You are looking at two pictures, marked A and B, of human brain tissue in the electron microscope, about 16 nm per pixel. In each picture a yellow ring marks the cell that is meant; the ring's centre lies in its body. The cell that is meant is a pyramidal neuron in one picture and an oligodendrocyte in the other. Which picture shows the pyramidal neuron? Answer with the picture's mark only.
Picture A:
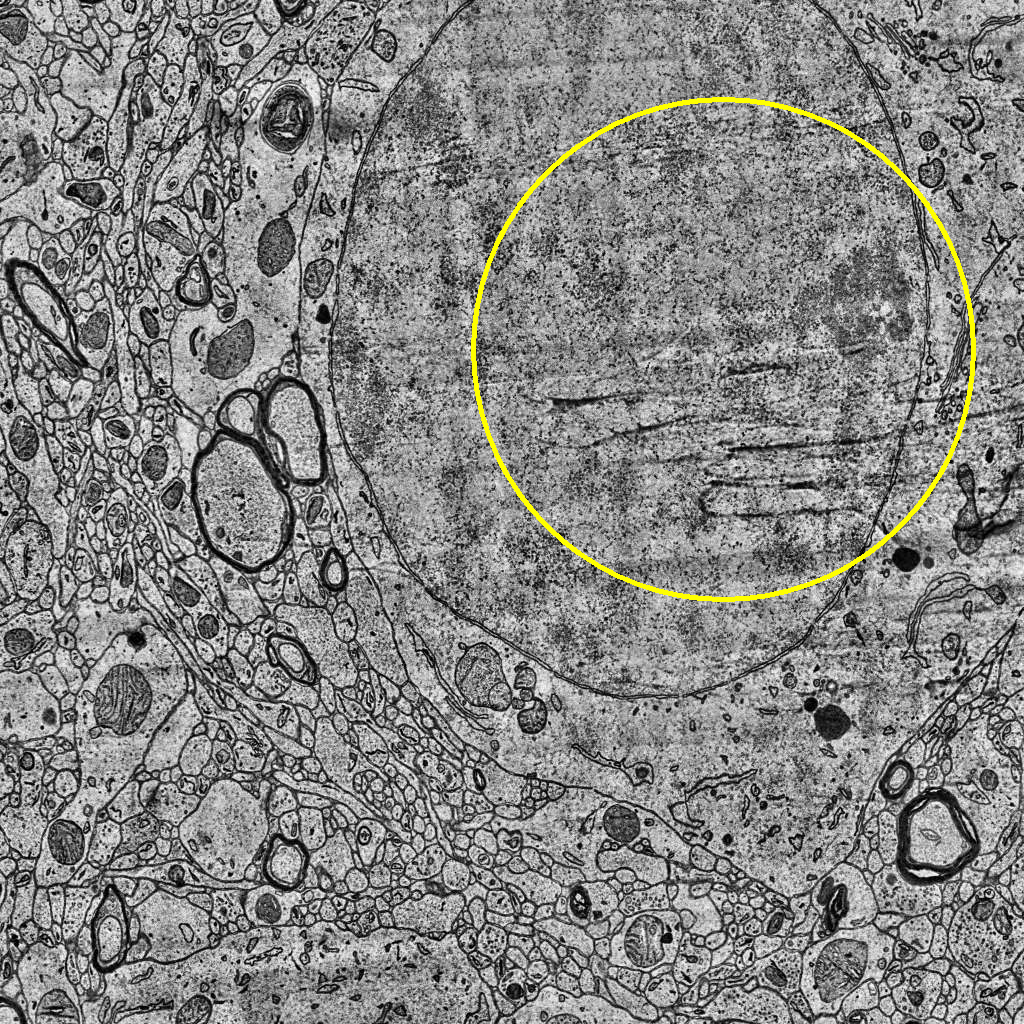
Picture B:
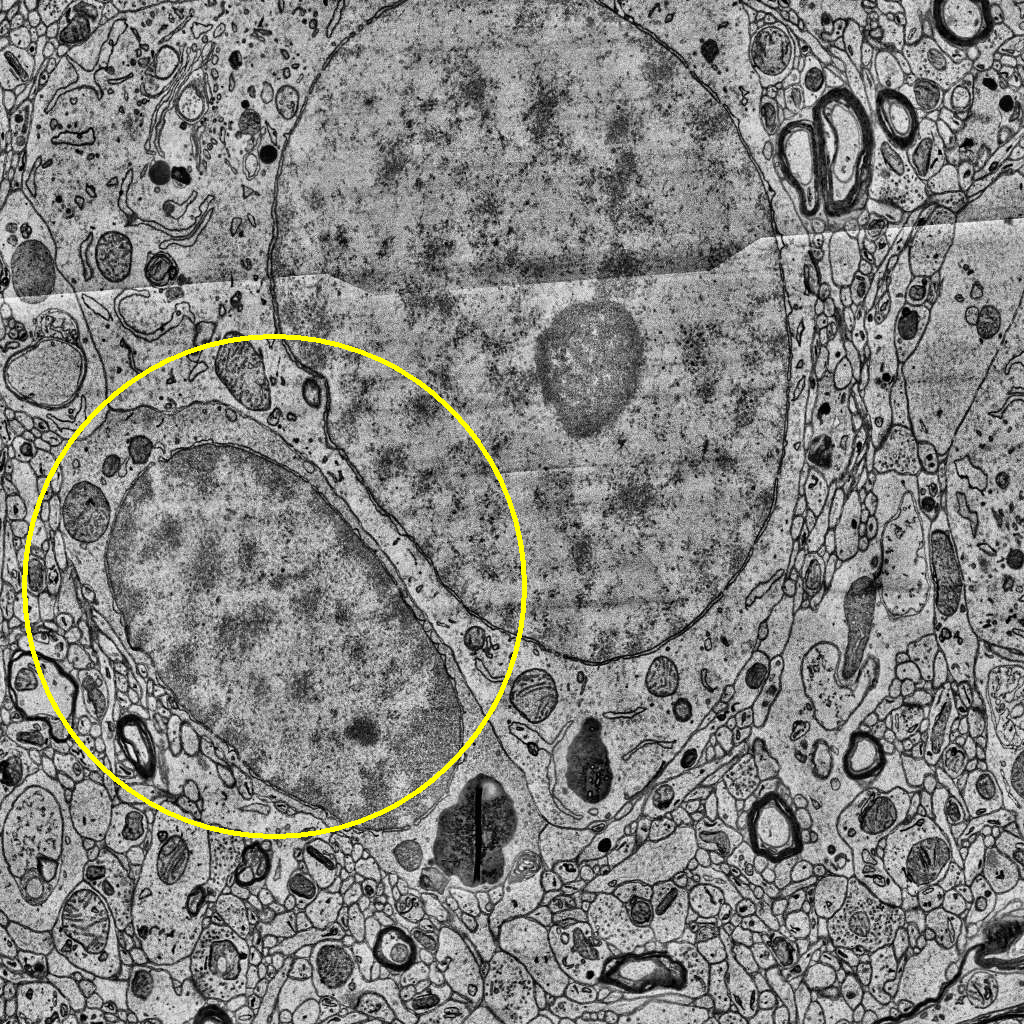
A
